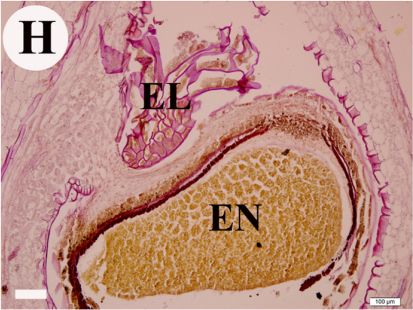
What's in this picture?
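The endosperm fills the seed as a compact mass of small polygonal cells with yellow-brown granular contents. It is enclosed by a narrow, dark red-brown layer, with pale, loosely arranged tissue outside it. Above the seed lies the broken elaiosome, a cluster of thin-walled cells stained pink to magenta, some of them torn open.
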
